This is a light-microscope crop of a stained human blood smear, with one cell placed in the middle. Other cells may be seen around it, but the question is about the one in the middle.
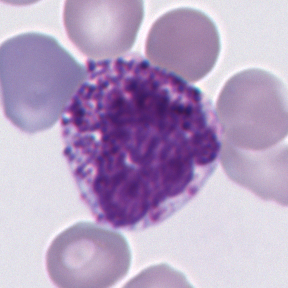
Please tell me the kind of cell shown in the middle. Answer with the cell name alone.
basophil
